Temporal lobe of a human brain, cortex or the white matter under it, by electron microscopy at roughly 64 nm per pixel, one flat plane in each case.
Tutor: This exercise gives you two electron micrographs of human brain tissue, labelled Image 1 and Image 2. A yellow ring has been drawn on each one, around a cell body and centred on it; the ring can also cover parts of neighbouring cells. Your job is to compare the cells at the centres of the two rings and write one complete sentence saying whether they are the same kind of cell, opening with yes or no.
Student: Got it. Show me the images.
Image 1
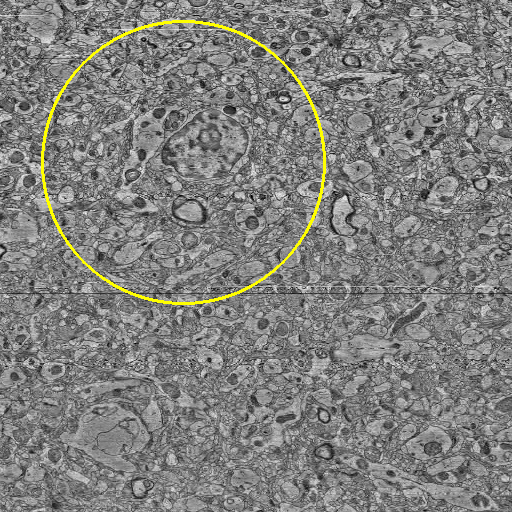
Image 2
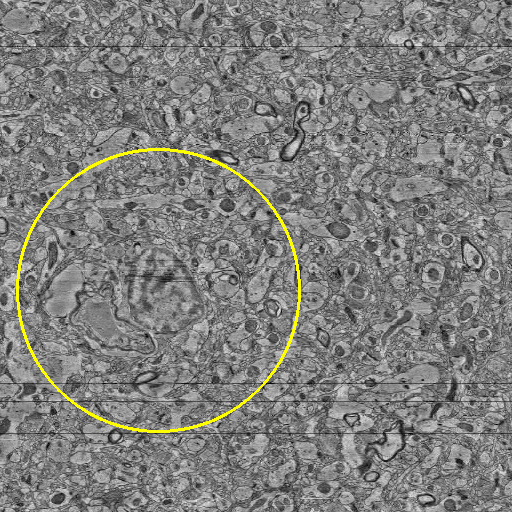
No, the two cells belong to two kinds.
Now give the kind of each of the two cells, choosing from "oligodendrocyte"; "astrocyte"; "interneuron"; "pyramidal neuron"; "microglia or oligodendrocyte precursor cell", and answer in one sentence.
The cell in the first picture is a microglial cell or oligodendrocyte precursor cell, and the cell in the second is an oligodendrocyte.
